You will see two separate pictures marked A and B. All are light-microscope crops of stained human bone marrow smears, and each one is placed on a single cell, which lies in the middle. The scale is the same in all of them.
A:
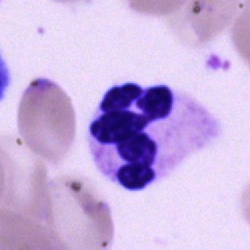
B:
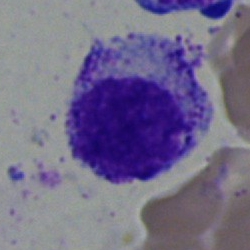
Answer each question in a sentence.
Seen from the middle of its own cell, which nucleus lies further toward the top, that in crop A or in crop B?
Seen within its cell, the nucleus in crop A lies further toward the top.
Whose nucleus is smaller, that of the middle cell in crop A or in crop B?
Crop A shows the smaller nucleus, since that in crop B covers about 2 times as much area.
